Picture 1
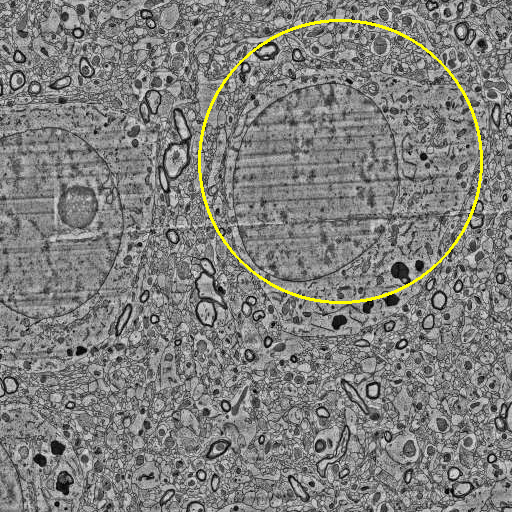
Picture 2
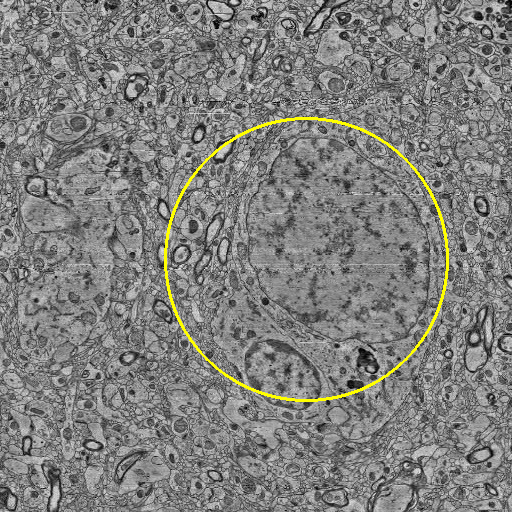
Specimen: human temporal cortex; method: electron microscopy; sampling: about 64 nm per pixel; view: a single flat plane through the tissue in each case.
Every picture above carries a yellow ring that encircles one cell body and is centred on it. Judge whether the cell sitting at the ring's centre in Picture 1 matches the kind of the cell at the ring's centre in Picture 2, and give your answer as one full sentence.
Yes, the cells centred in the rings of Pictures 1 and 2 belong to one kind.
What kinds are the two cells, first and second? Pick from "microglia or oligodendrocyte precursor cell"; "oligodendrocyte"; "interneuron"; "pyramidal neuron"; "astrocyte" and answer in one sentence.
Each of the two pictures has a pyramidal neuron at the ring centre.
